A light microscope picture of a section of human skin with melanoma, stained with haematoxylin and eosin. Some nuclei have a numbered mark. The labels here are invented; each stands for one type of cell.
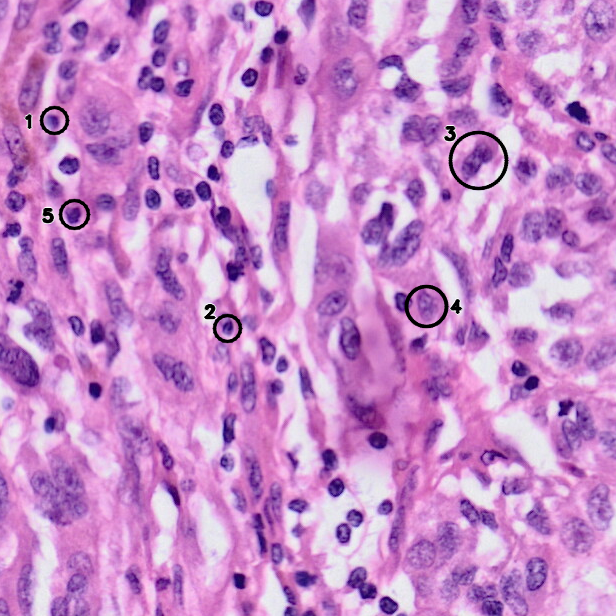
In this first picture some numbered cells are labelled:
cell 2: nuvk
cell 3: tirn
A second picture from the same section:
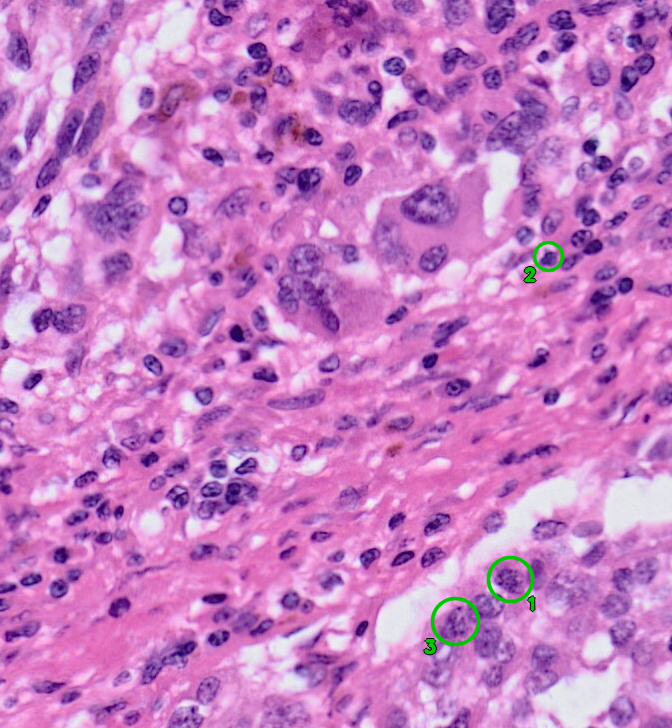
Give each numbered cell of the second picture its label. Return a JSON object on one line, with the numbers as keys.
{"1": "tirn", "2": "nuvk", "3": "tirn"}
